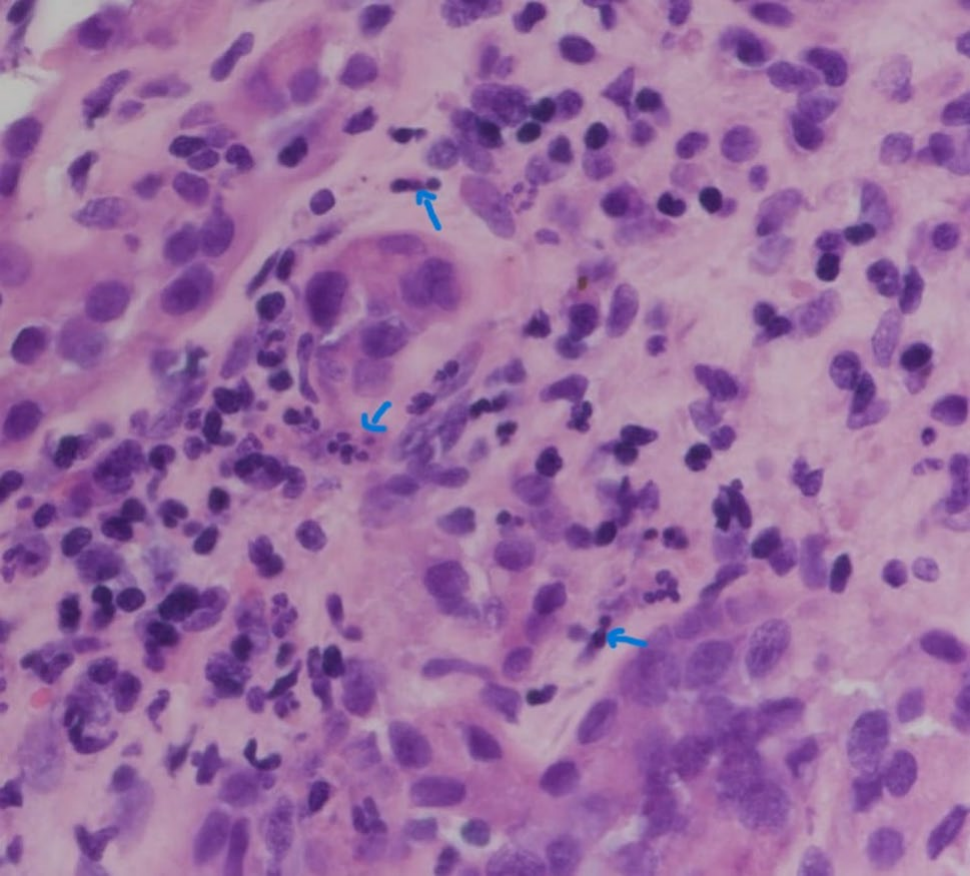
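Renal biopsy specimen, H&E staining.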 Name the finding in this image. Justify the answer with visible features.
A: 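Interstitial inflammation. Many small cells with dark round or lobed nuclei crowd the tissue. These small dark cells lie between and around groups of larger epithelial cells with pale oval nuclei and pink cytoplasm. The infiltrate includes cells with round nuclei and cells with lobed nuclei.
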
